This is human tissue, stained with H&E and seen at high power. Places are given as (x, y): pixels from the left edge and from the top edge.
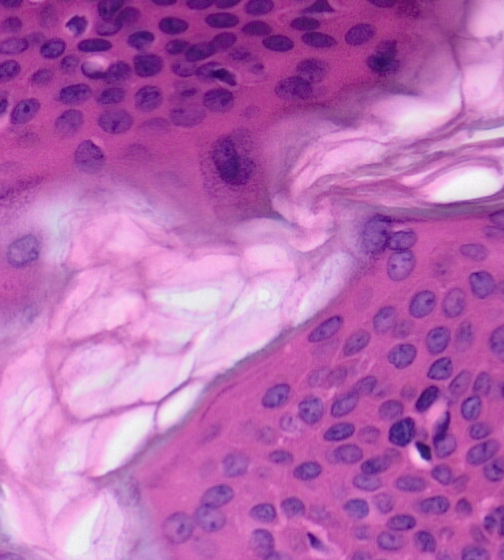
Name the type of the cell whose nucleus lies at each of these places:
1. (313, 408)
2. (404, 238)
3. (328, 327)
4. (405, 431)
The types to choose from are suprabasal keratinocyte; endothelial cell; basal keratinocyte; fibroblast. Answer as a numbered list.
1. suprabasal keratinocyte
2. suprabasal keratinocyte
3. suprabasal keratinocyte
4. basal keratinocyte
